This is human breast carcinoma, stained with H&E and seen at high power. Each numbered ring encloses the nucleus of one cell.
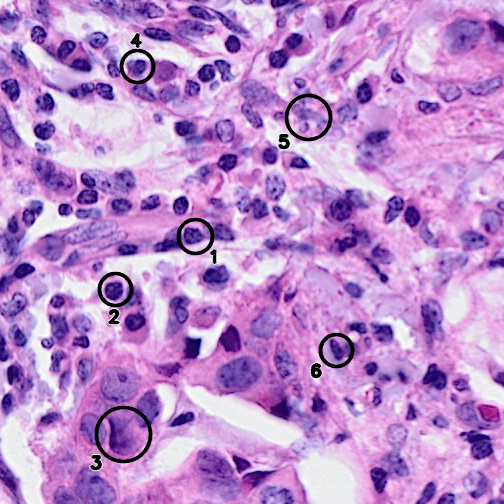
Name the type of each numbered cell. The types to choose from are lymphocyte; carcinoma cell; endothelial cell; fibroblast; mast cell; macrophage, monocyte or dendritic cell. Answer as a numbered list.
1. lymphocyte
2. lymphocyte
3. carcinoma cell
4. lymphocyte
5. macrophage, monocyte or dendritic cell
6. lymphocyte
